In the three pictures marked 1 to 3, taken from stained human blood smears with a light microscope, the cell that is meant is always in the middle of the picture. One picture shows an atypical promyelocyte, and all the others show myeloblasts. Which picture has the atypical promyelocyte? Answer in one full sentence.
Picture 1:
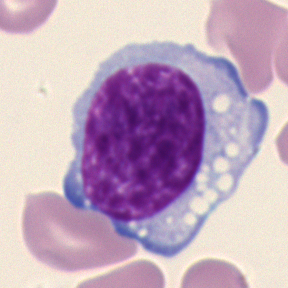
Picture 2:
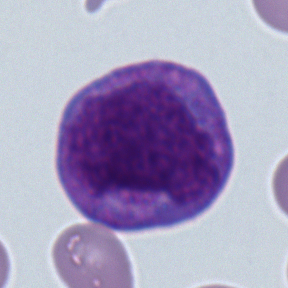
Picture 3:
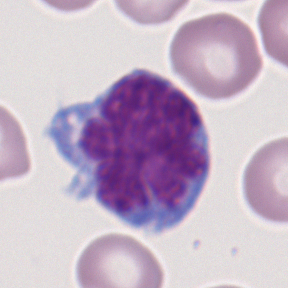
The atypical promyelocyte is the one in picture 2.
